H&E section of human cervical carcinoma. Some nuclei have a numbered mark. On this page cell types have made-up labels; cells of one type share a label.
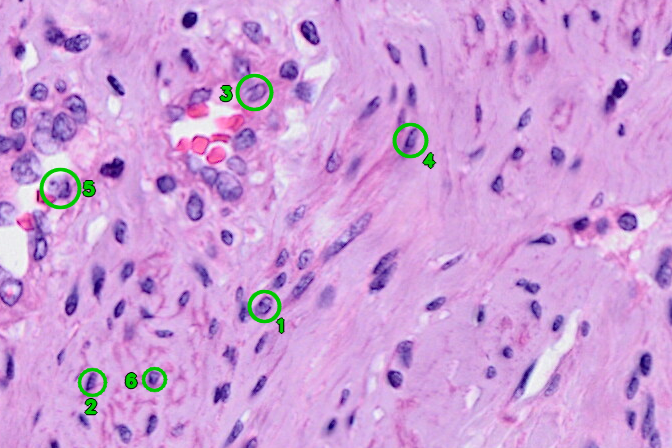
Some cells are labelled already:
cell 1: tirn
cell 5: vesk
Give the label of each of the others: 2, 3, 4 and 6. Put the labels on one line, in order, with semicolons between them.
tirn; vesk; tirn; tirn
